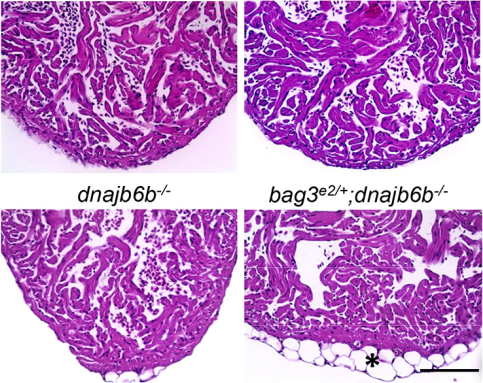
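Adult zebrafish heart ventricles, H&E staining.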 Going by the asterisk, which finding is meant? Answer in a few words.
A: Lipid accumulation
